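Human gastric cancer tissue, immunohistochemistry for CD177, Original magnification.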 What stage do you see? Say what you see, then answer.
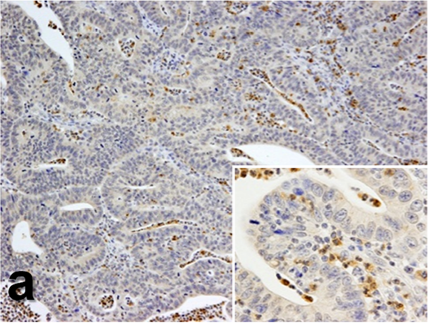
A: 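Well-differentiated. Tumour cells form tubular glands with open lumens.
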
